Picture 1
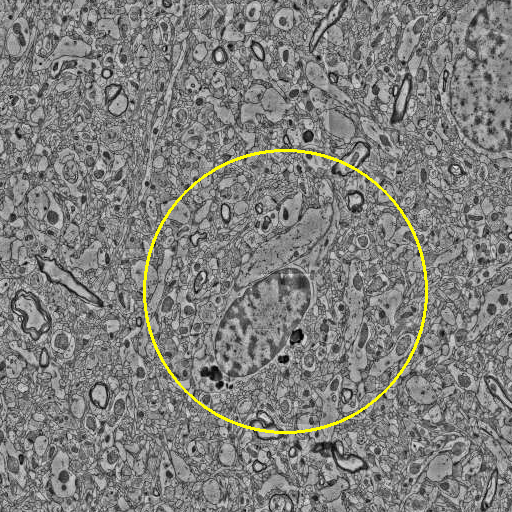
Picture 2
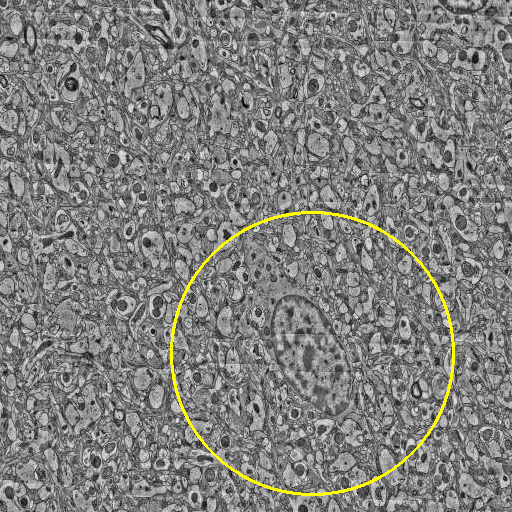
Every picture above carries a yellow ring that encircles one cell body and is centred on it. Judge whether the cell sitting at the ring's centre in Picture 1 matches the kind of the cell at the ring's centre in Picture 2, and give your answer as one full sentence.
No, the cells centred in the rings of Pictures 1 and 2 belong to two kinds.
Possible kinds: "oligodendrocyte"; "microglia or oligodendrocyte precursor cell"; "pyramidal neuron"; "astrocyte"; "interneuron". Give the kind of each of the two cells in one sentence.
The cell in the second picture is an oligodendrocyte, and that in the first is a microglial cell or oligodendrocyte precursor cell.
